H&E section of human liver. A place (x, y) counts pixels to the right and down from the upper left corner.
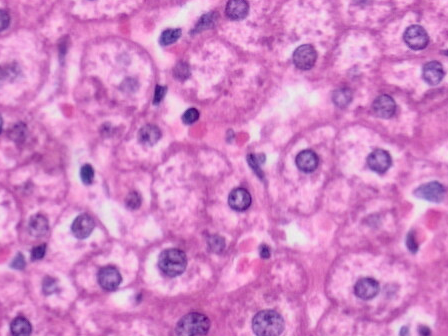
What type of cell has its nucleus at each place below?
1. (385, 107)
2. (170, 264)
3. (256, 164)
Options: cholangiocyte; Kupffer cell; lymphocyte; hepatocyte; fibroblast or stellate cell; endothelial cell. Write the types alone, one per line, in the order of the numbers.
hepatocyte
hepatocyte
Kupffer cell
